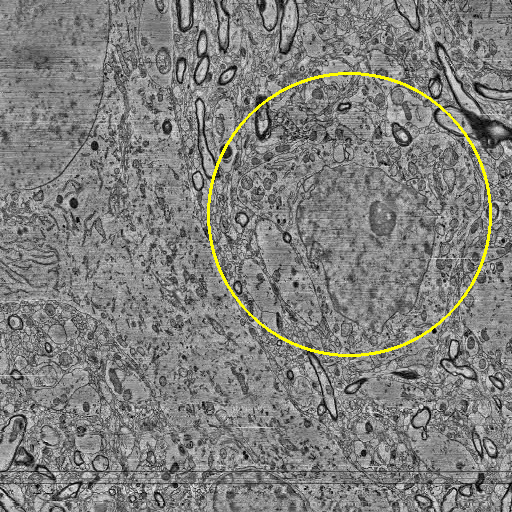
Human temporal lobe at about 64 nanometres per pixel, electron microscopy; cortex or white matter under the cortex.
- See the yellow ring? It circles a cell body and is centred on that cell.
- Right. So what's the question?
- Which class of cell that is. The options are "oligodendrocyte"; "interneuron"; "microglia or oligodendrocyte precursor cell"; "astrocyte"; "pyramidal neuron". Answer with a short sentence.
The centre of the ring holds an interneuron.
